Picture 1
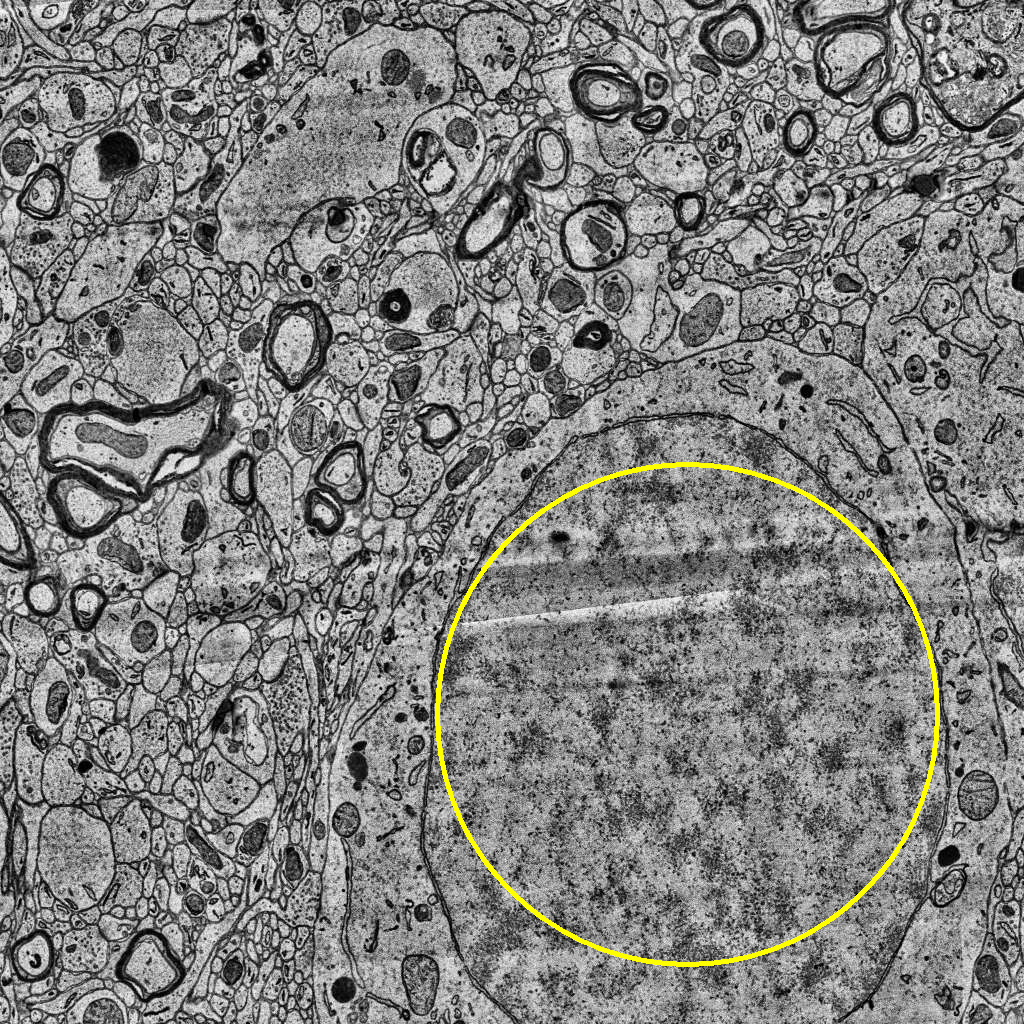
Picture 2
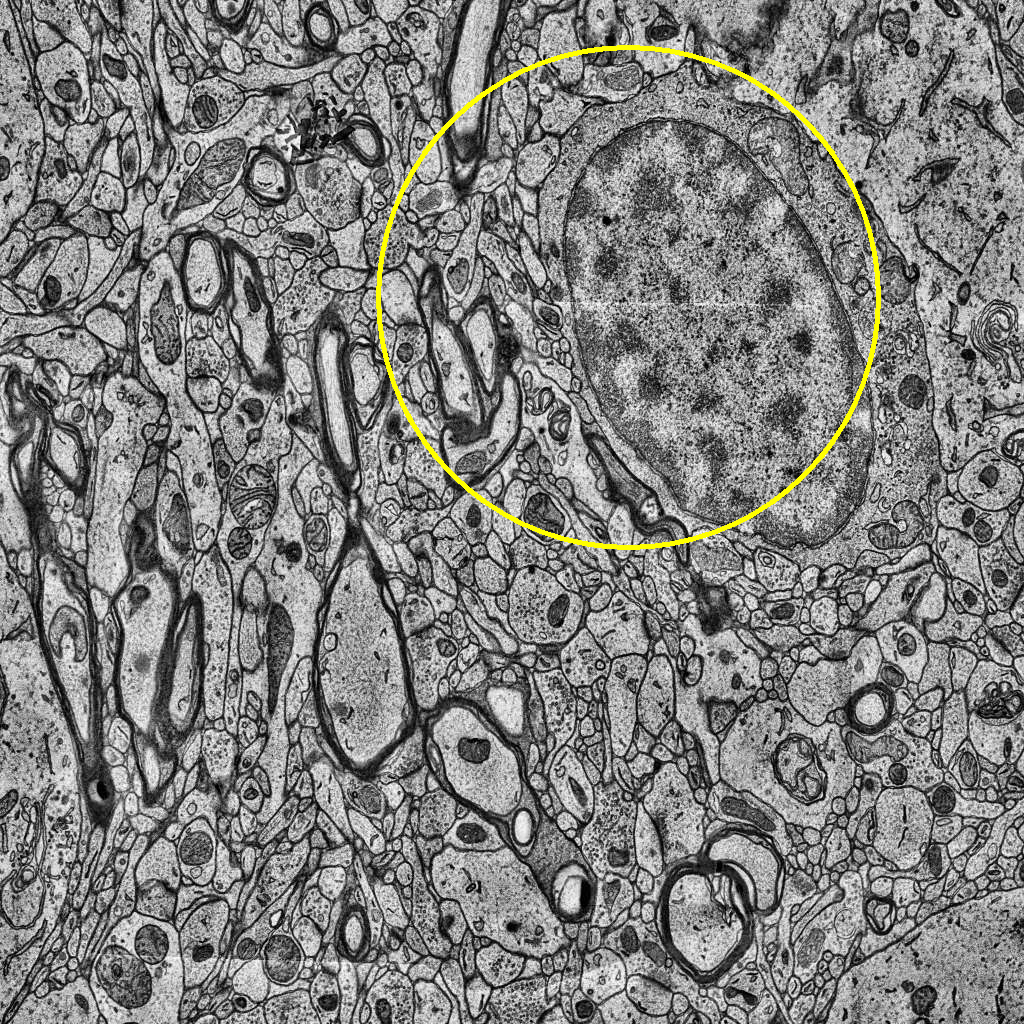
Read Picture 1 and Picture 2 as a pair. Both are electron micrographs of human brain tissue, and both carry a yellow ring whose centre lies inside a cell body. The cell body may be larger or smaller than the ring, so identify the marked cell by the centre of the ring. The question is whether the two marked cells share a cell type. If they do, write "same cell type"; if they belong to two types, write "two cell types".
two cell types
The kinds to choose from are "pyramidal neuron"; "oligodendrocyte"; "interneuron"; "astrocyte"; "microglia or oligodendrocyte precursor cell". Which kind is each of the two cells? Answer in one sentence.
Of the two, the first cell is a pyramidal neuron and the second cell is an oligodendrocyte.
